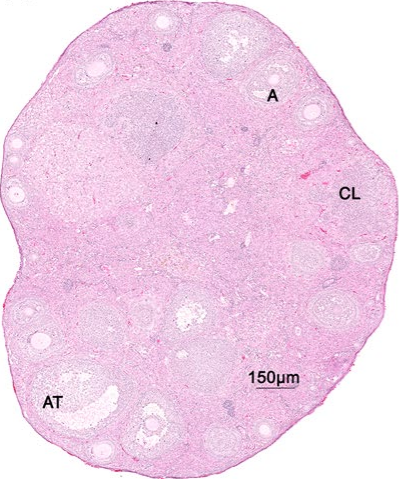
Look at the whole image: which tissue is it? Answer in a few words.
ovaries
